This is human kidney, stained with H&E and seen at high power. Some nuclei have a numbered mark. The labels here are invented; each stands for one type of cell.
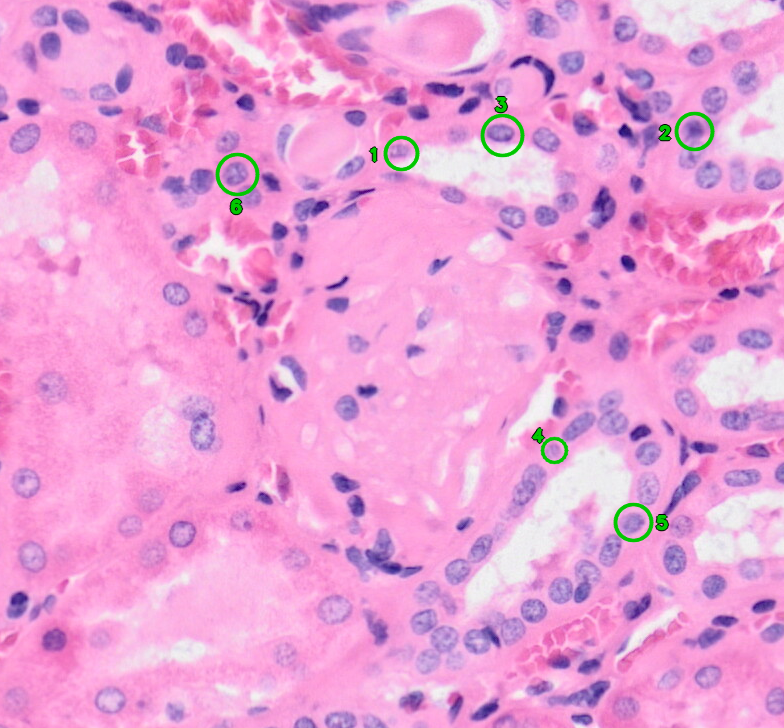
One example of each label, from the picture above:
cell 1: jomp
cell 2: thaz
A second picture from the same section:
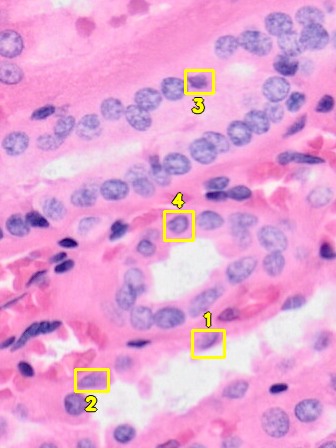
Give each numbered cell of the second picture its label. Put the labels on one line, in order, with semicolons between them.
jomp; jomp; thaz; thaz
